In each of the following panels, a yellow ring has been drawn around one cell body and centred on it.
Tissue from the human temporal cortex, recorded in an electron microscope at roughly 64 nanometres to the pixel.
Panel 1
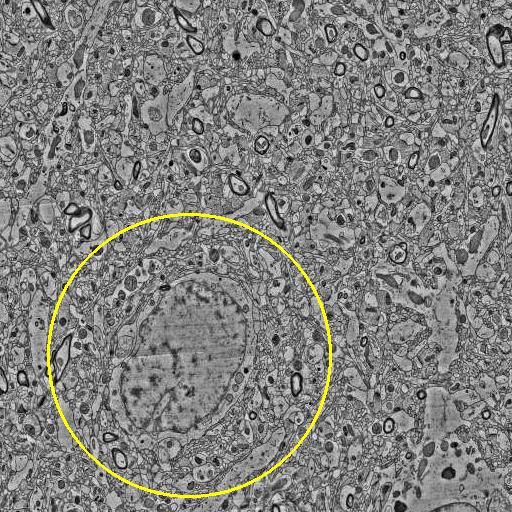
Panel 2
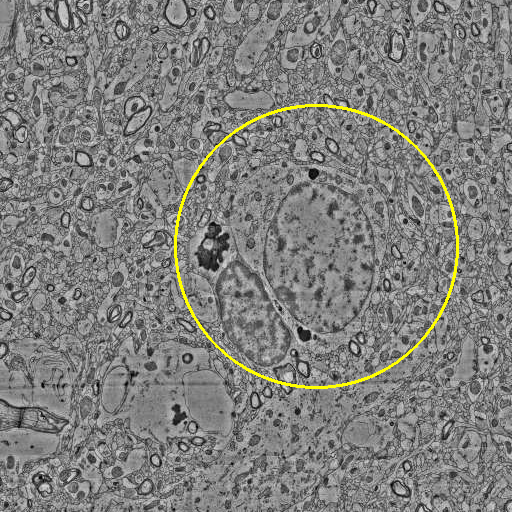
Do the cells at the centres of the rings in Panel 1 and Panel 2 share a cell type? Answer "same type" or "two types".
same type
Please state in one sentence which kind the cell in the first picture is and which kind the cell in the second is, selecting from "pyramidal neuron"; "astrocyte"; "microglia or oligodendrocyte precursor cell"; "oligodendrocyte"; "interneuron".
Each of the two cells is an interneuron.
